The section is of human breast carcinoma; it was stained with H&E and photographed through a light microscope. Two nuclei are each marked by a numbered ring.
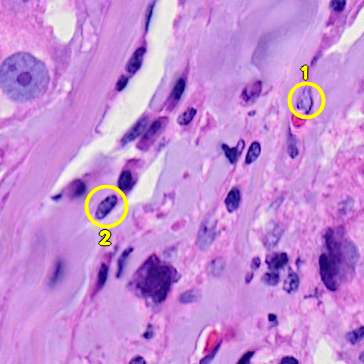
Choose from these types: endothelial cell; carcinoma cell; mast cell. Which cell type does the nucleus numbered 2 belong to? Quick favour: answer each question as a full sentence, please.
In this section, the cell numbered 2 is a mast cell.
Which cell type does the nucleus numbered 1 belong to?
The cell that is numbered 1 is an endothelial cell.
